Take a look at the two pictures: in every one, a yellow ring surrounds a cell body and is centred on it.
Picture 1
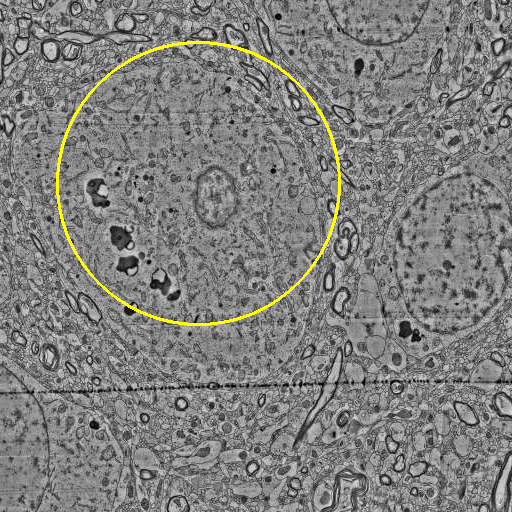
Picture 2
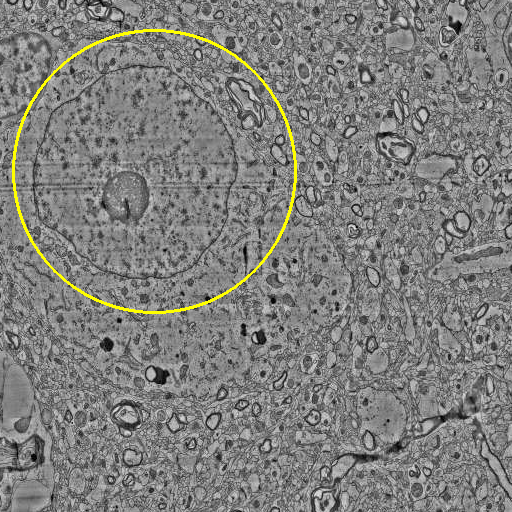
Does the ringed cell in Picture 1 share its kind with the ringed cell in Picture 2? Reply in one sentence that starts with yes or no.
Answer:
Yes, the two centred cells, one per picture, are of one kind.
